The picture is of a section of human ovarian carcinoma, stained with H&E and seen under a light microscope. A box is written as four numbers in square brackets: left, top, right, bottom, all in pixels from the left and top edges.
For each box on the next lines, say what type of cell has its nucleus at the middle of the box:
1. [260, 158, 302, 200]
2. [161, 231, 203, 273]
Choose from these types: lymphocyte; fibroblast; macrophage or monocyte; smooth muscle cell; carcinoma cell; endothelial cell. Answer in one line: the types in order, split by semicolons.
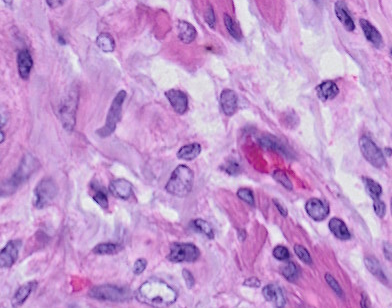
endothelial cell; macrophage or monocyte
